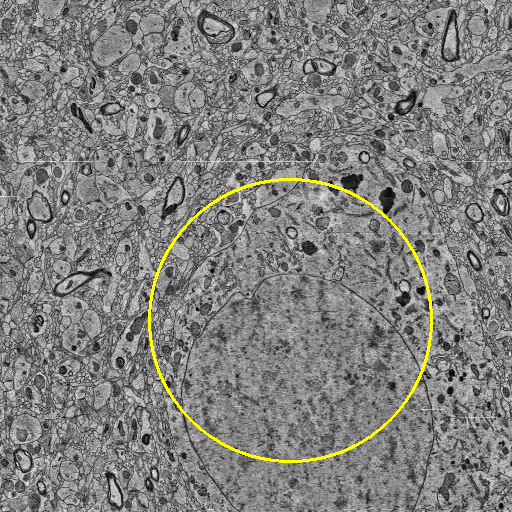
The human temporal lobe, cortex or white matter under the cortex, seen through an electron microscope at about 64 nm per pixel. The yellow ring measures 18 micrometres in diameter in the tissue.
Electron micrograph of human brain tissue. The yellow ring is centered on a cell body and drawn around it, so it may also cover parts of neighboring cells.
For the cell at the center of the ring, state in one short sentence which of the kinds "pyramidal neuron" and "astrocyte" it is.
This ring is centered on a pyramidal neuron.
